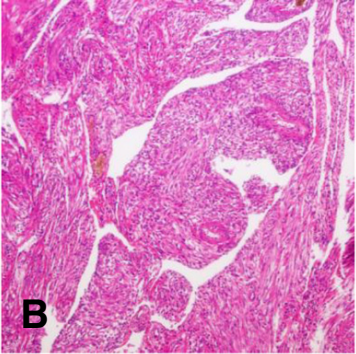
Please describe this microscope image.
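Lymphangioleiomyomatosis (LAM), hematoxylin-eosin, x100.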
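Pink bundles of elongated spindle cells with cigar-shaped nuclei run in crossing directions, separated by many empty branching slit-like spaces. The bundles seem to protrude into and be outlined by these open channels, and a few small vessels lie within them. These are proliferative spindle cell fascicles lying in dilated vascular spaces.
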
